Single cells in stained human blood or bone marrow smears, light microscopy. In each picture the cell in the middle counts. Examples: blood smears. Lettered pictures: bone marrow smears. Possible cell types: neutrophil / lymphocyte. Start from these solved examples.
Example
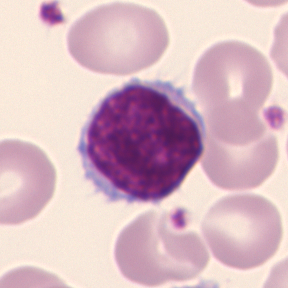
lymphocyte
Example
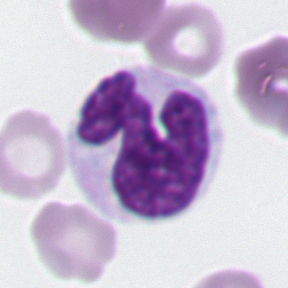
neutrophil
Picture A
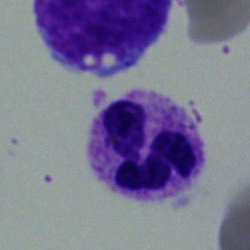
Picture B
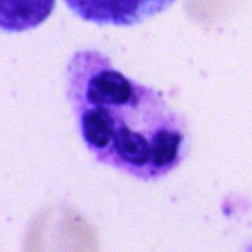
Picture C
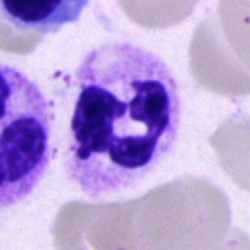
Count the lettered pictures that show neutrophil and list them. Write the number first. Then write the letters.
3: A, B, C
